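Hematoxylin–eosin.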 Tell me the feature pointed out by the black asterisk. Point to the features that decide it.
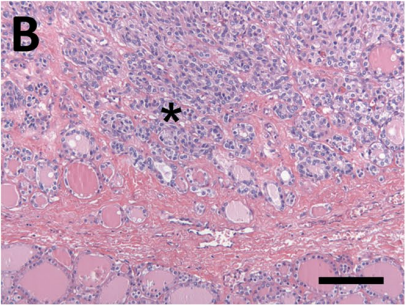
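Highly cellular follicular nodule. The asterisk lies in a densely cellular area with only small follicles. Larger colloid-filled follicles lie below it, separated by a band of pink fibrous tissue.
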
